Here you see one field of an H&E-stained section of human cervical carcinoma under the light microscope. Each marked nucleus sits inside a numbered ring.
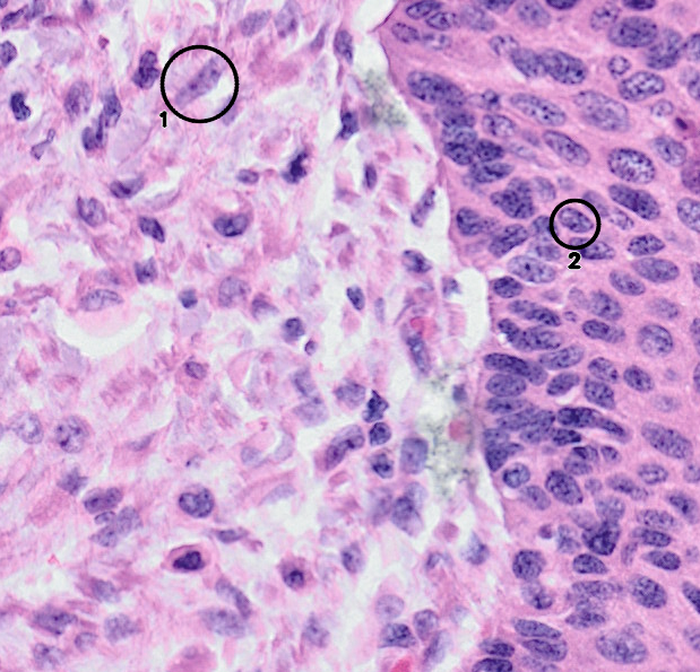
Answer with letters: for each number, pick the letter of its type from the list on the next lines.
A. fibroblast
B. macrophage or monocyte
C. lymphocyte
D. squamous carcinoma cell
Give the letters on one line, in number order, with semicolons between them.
A; D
